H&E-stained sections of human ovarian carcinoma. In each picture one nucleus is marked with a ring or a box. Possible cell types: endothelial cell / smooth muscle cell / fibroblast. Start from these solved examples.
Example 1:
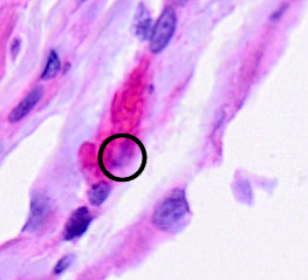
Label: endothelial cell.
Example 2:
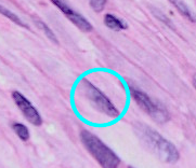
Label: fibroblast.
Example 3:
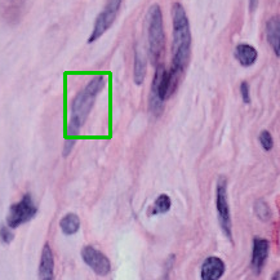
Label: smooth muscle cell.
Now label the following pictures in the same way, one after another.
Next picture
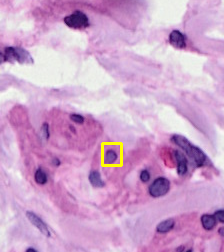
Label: smooth muscle cell.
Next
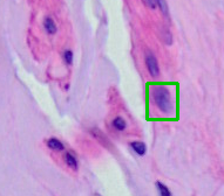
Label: smooth muscle cell.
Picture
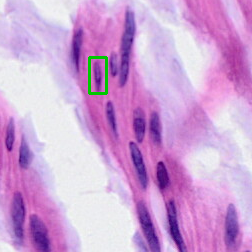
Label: smooth muscle cell.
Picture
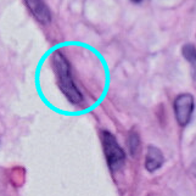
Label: endothelial cell.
